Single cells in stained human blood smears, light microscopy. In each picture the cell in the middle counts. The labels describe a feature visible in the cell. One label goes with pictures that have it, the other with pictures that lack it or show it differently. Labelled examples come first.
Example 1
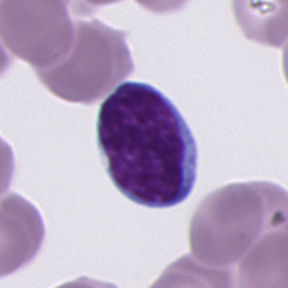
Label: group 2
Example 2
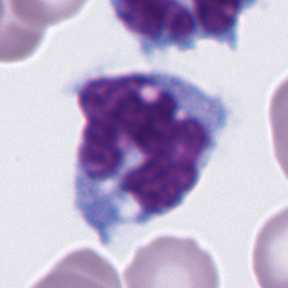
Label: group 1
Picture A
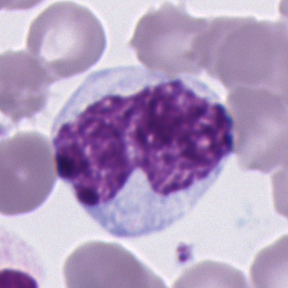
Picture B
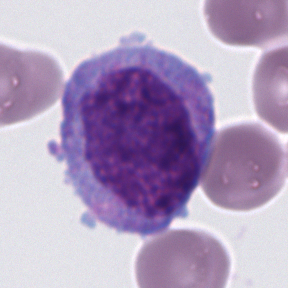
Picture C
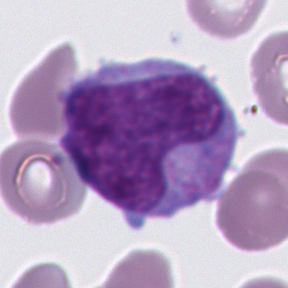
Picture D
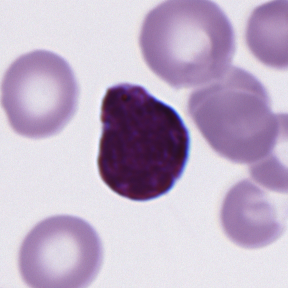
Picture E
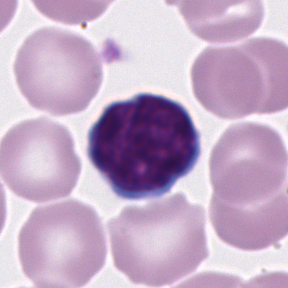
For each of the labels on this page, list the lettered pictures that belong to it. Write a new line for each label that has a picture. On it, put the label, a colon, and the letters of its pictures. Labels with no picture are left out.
group 2: A, D, E
group 1: B, C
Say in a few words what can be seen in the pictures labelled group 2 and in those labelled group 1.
Seen in group 2: smooth outline; seen in group 1: ragged outline or projections.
